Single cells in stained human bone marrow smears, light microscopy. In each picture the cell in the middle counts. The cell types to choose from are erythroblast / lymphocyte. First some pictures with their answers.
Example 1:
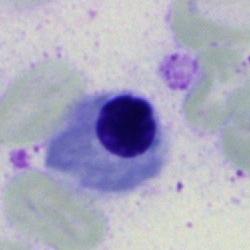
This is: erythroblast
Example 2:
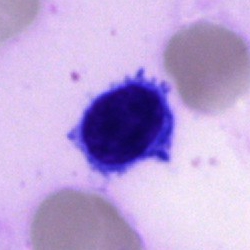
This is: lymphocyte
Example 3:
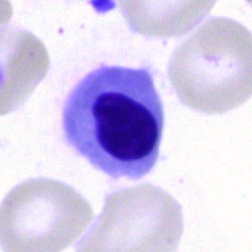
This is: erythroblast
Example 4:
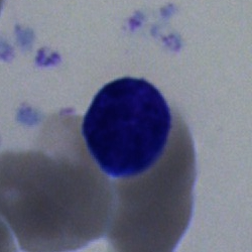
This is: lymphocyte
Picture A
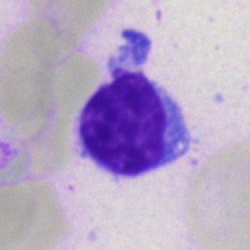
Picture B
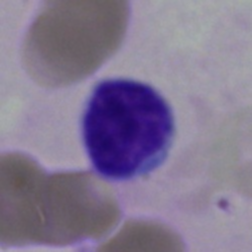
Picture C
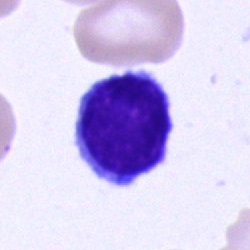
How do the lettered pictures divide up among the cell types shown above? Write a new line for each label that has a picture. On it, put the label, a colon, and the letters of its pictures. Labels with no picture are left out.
lymphocyte: A, B, C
